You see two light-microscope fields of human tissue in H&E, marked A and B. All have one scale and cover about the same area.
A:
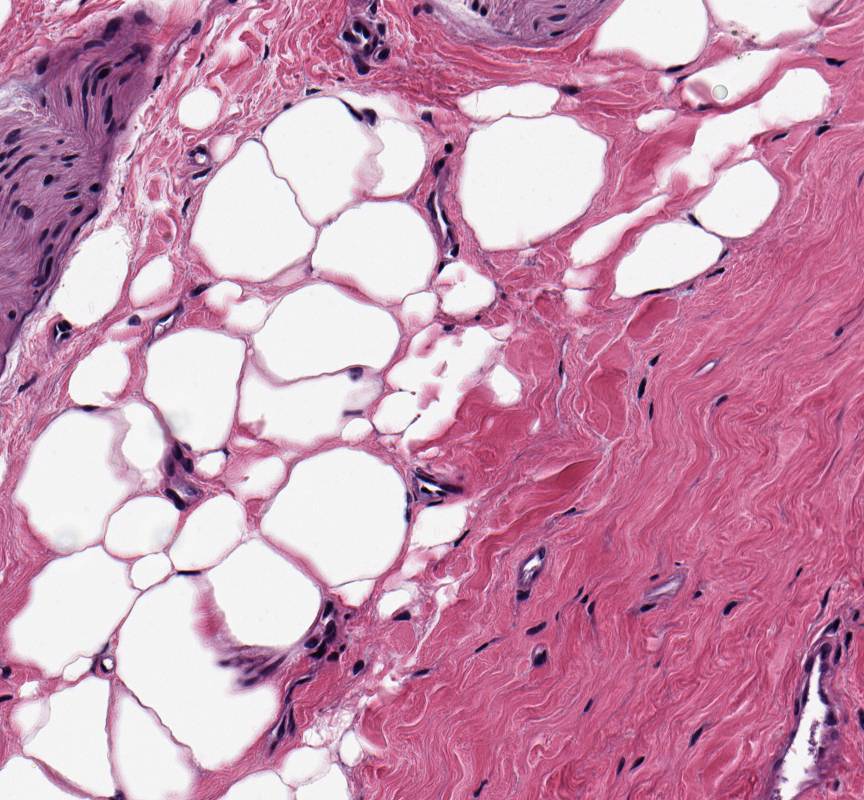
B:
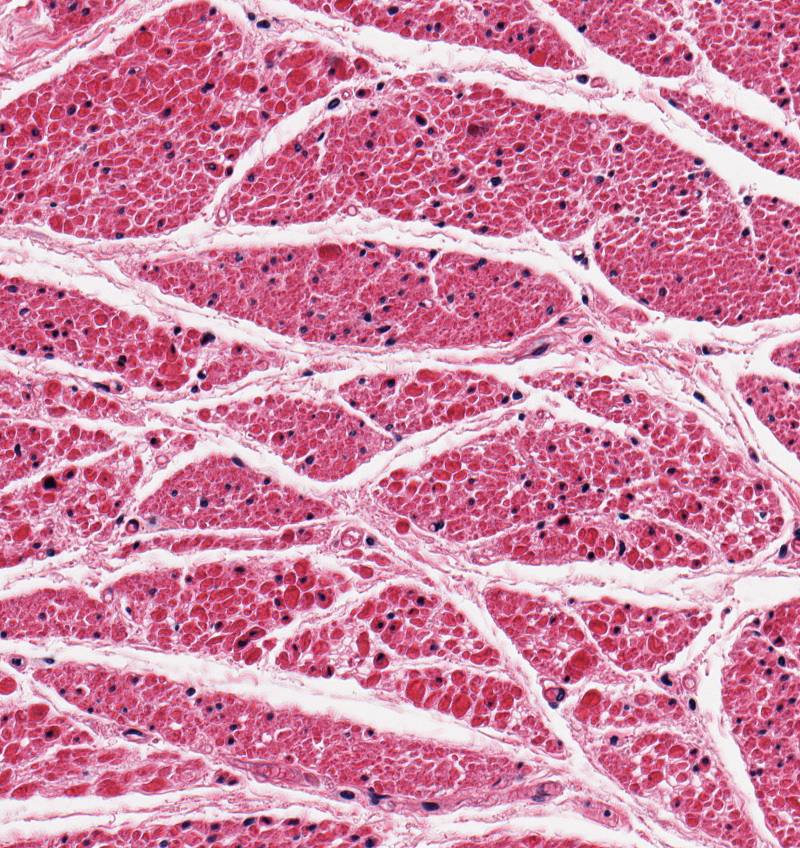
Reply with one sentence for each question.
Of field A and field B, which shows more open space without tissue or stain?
Unstained space takes up more of field A than of field B.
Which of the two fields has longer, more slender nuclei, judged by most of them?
On the whole the nuclei of field A are more drawn out than those of field B.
